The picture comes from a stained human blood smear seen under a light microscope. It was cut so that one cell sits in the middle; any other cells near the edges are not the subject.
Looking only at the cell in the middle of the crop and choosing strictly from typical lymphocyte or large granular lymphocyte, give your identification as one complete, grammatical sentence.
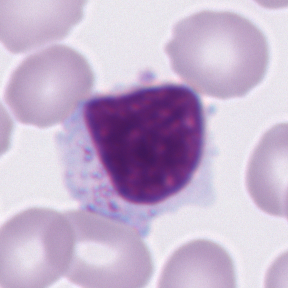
The cell featured at the centre of this crop is a large granular lymphocyte.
